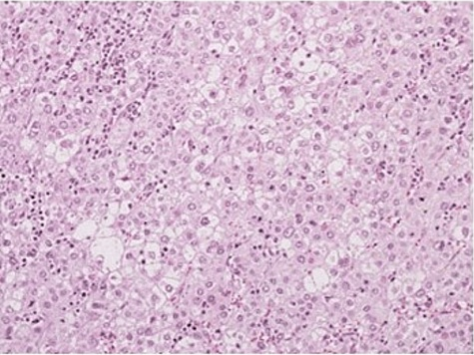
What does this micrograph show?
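Tumor tissue made of large polygonal tumor cells packed in irregular cords and plates, with clear rounded spaces between groups of cells. The cells have abundant pale pink, granular cytoplasm, some with clear vacuoles, and round nuclei. Small dark-nucleated cells are gathered along the left edge.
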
